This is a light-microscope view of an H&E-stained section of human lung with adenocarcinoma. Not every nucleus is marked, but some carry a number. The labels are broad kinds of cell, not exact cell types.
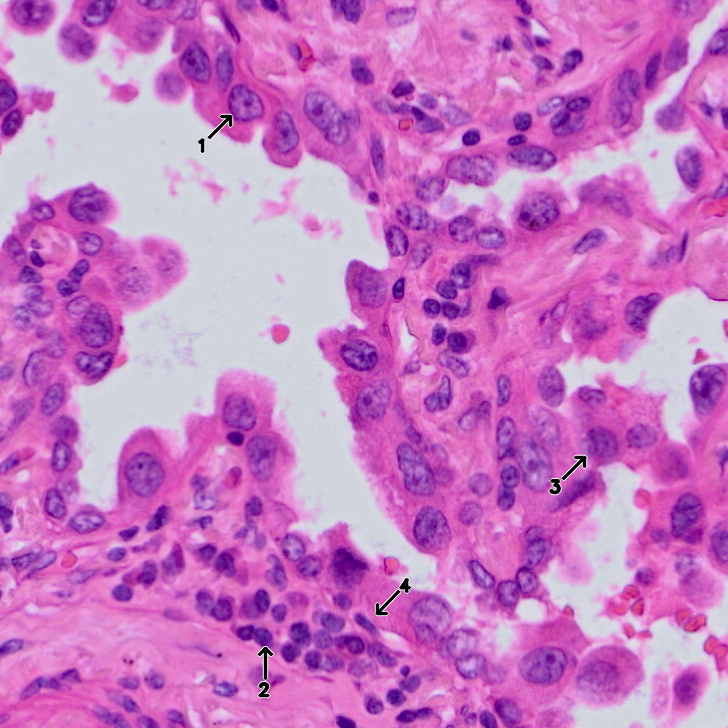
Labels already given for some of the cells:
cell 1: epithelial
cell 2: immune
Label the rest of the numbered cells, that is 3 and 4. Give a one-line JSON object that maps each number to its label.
{"3": "epithelial", "4": "immune"}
